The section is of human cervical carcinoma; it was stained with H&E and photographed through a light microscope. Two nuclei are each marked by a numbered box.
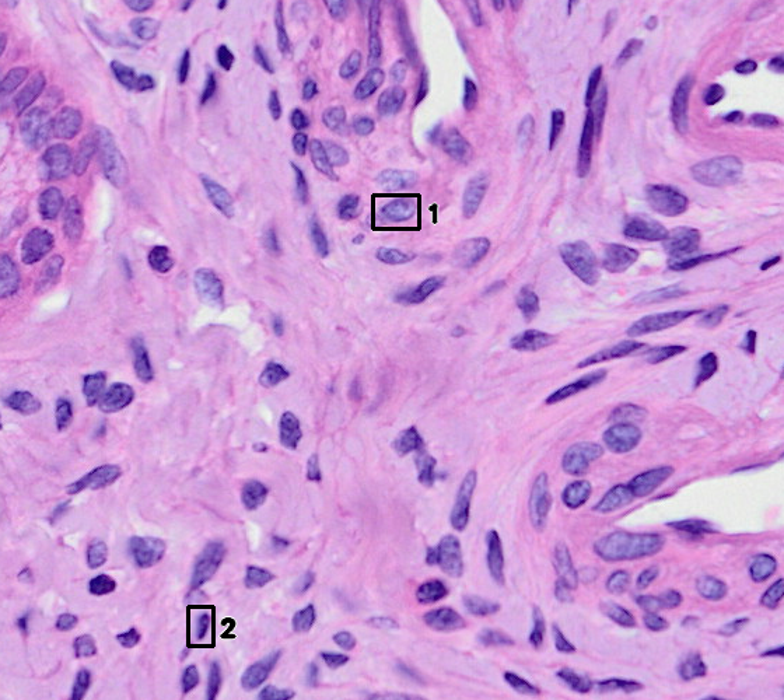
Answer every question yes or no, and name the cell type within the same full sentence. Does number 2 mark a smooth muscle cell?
No, cell 2 is not a smooth muscle cell; it is a fibroblast.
